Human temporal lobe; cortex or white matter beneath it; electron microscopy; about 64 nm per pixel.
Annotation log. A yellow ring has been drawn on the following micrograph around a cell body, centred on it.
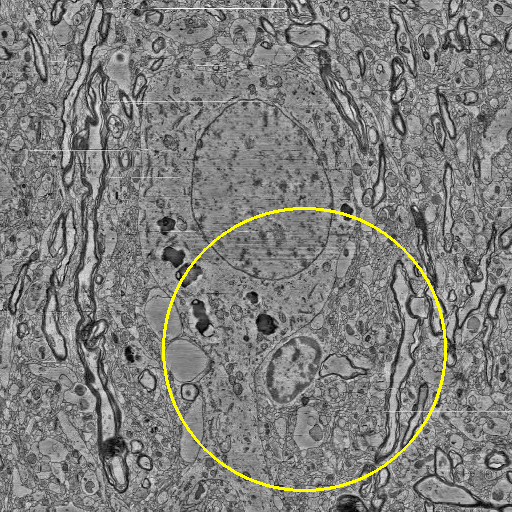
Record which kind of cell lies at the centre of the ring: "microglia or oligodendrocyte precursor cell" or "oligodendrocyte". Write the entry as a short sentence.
The cell the ring is centred on is a microglial cell or oligodendrocyte precursor cell.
